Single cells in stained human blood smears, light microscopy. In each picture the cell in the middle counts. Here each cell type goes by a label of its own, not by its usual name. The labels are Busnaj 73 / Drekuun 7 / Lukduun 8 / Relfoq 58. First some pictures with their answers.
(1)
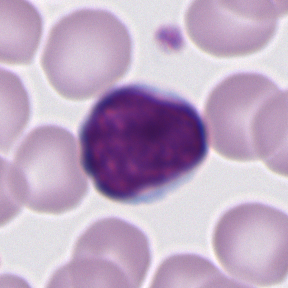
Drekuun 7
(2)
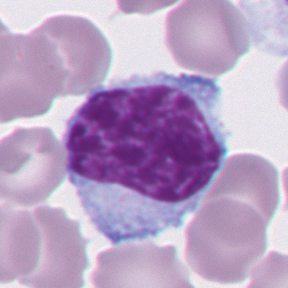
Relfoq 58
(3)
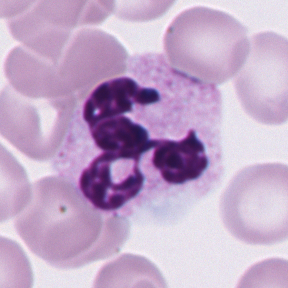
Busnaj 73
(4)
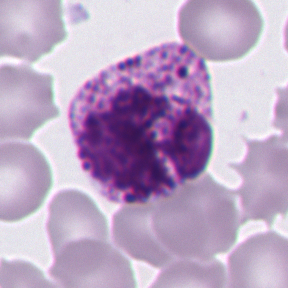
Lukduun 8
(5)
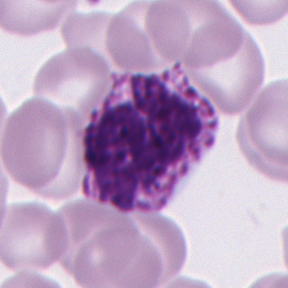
Lukduun 8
